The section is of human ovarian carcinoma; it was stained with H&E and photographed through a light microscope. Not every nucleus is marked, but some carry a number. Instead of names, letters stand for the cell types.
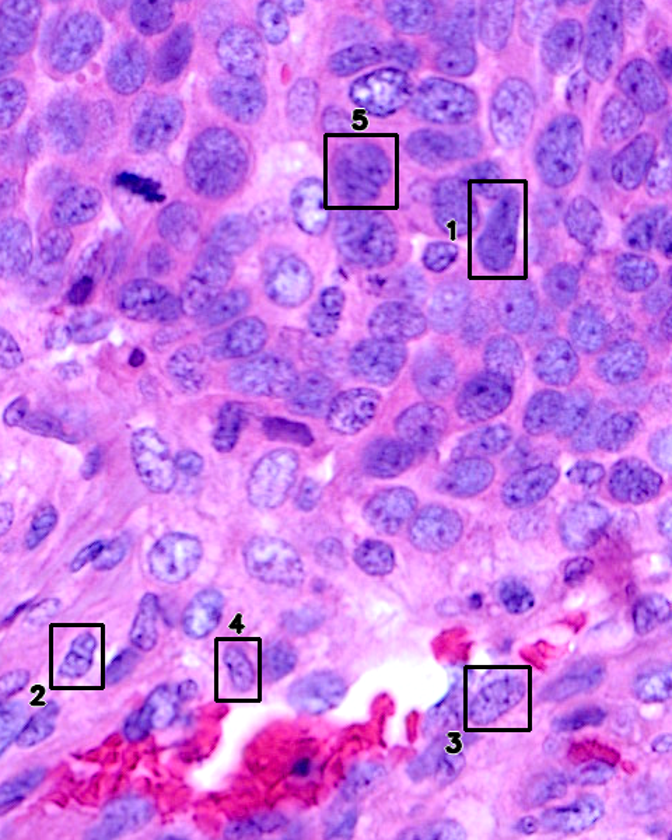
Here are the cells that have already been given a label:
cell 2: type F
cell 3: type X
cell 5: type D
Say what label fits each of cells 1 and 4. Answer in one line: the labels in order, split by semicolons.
type D; type X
